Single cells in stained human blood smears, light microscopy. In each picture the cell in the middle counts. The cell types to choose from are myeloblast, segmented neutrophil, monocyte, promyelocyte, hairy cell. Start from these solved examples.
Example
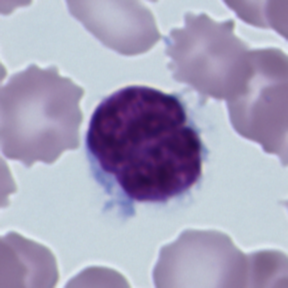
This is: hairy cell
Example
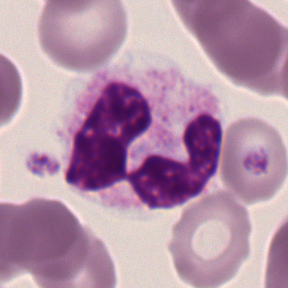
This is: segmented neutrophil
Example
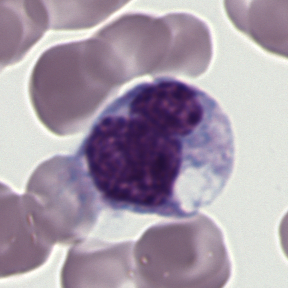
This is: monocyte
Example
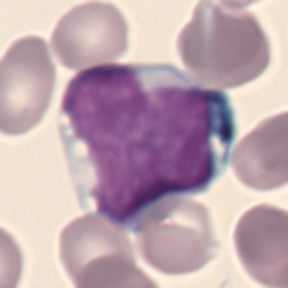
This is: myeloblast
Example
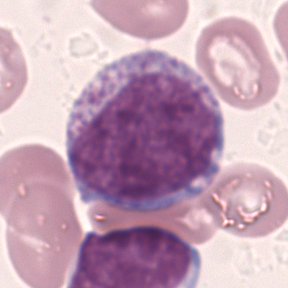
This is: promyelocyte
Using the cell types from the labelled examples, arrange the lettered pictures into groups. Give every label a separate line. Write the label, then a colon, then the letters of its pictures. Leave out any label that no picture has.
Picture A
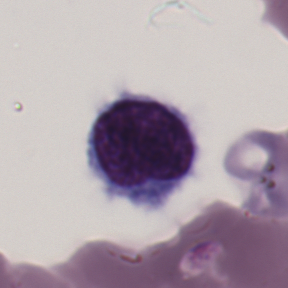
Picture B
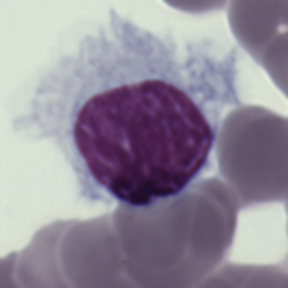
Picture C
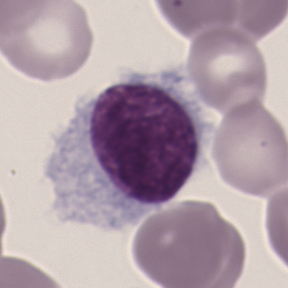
hairy cell: A, B, C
